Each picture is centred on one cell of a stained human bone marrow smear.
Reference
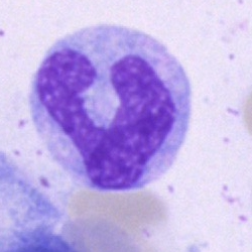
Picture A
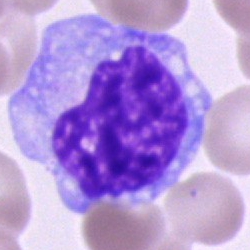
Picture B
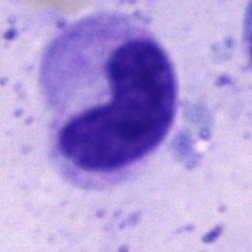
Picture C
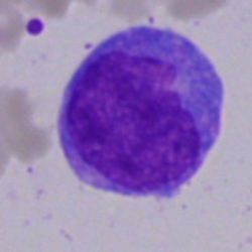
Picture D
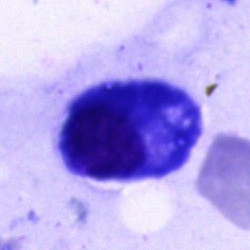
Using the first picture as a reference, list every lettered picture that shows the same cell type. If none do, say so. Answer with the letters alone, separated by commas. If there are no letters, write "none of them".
A, C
